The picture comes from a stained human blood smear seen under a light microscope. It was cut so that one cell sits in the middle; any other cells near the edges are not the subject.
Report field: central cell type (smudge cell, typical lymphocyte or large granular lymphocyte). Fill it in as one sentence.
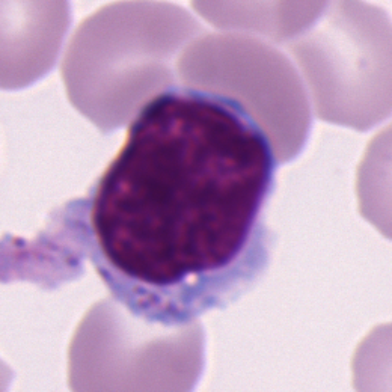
The middle of this crop holds a large granular lymphocyte.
